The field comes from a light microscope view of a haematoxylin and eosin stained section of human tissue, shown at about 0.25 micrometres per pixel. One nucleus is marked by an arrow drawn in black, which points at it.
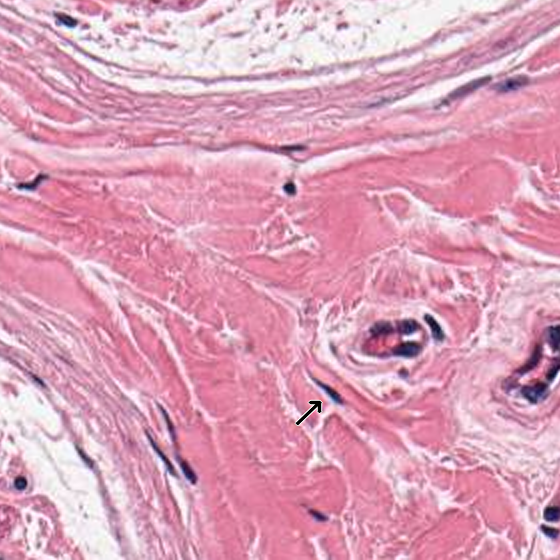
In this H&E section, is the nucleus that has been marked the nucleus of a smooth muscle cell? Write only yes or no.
no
